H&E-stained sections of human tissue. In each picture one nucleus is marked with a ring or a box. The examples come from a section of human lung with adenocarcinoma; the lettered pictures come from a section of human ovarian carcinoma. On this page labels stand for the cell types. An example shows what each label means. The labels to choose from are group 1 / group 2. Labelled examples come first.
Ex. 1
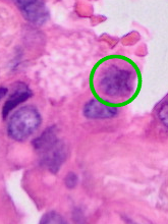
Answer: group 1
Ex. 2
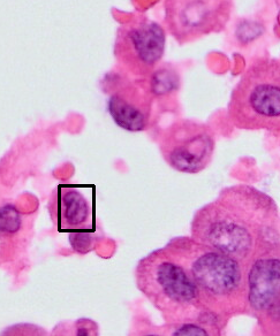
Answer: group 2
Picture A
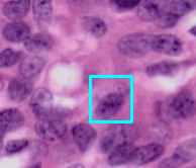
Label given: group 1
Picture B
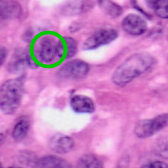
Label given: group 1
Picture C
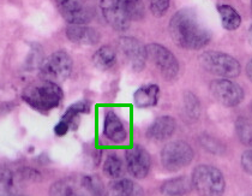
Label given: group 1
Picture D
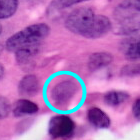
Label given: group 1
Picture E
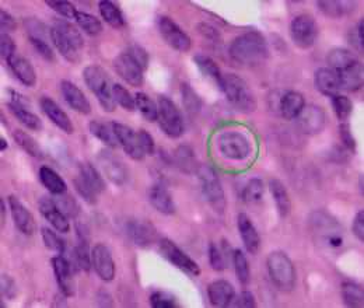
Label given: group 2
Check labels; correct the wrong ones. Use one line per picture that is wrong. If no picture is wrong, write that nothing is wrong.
No label is wrong.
